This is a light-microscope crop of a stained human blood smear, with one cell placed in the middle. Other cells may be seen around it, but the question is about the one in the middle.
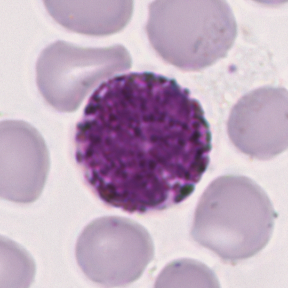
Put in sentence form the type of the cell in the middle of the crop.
Occupying the centre of the crop is a basophil.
